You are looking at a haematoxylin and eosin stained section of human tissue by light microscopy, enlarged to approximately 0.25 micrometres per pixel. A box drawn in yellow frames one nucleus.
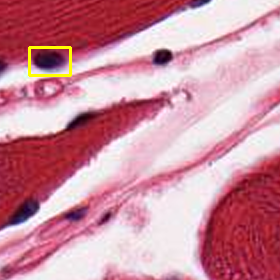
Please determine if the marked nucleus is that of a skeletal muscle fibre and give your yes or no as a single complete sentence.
Yes, the marked nucleus represents the nucleus of a skeletal muscle fibre.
